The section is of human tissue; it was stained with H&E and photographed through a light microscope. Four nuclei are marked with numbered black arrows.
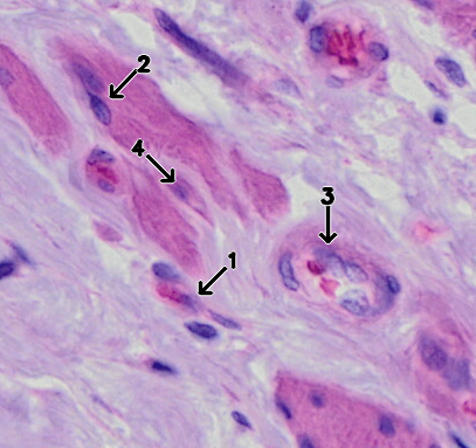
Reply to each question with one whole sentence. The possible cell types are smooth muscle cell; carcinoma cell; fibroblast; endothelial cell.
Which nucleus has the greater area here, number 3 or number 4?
The larger nucleus is 3, at roughly 3 times the area of 4.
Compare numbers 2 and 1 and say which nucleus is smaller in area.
Nucleus 1 is the smaller one; nucleus 2 covers about 1.5 times its area.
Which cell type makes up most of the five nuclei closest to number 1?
Of the five nuclei nearest to number 1, most belong to fibroblasts.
